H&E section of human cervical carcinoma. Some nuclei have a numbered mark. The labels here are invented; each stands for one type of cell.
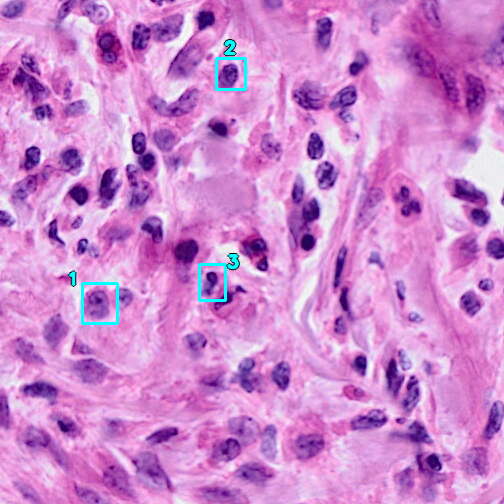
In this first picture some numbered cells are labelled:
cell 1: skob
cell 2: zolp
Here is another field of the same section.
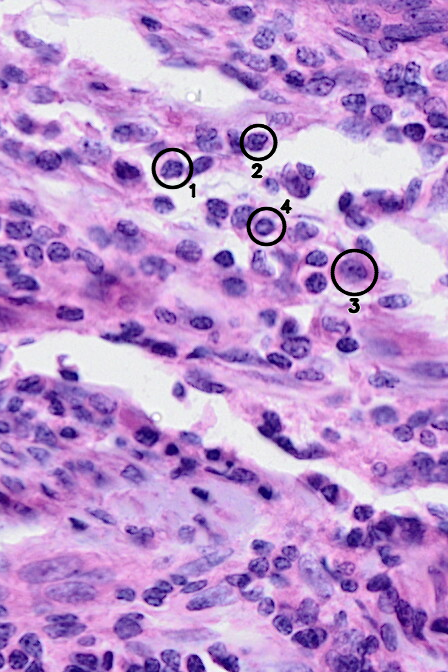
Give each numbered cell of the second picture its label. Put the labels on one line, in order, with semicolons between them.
zolp; zolp; skob; zolp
